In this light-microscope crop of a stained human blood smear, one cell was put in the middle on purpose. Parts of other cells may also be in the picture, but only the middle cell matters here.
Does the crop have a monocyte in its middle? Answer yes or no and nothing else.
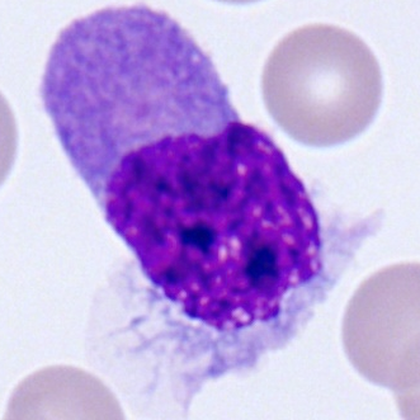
yes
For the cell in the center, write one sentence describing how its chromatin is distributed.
The nucleus shows chromatin that is coarsely clumped.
